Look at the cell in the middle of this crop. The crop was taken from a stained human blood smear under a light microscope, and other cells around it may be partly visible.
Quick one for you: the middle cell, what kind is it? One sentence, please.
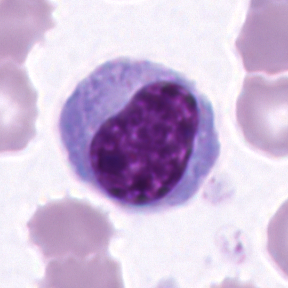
Within this crop, a plasma cell occupies the central position.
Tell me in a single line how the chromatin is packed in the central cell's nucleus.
Its nuclear chromatin is gathered into coarse clumps.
